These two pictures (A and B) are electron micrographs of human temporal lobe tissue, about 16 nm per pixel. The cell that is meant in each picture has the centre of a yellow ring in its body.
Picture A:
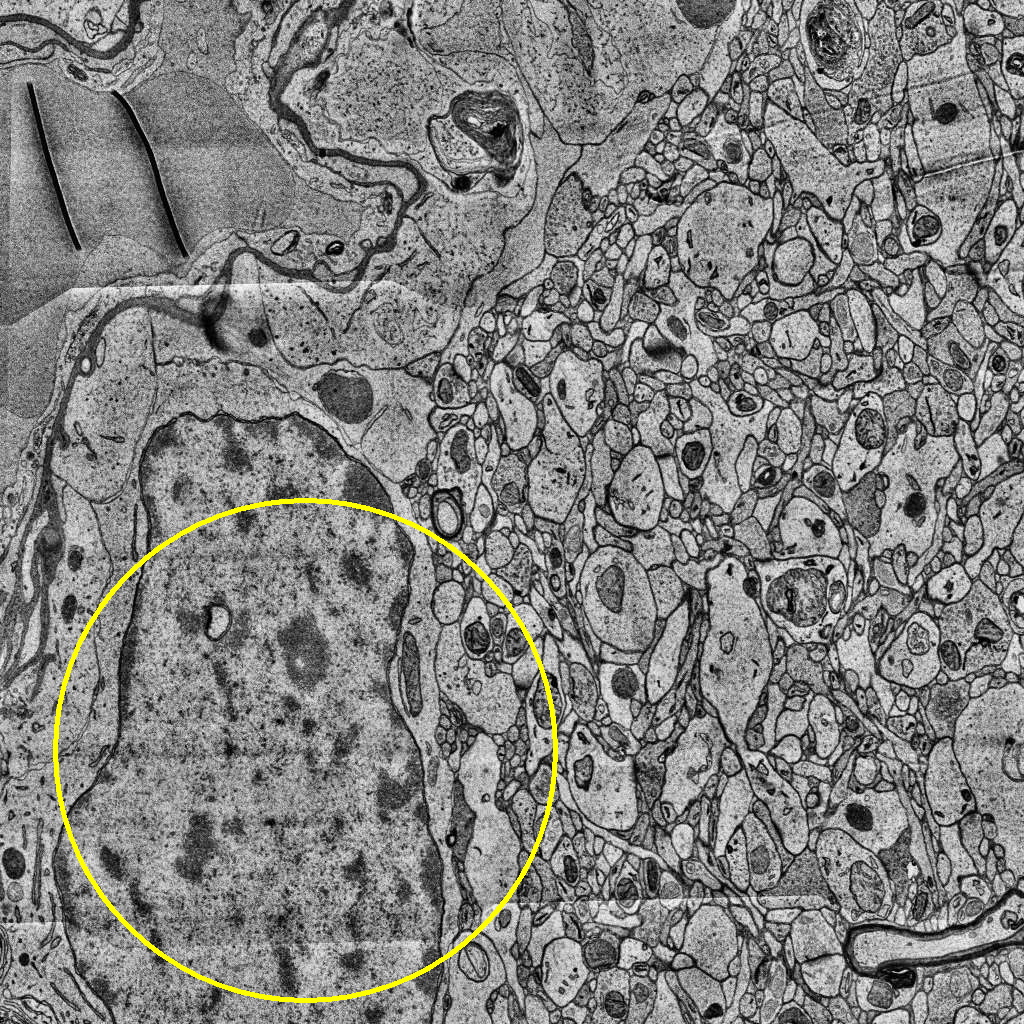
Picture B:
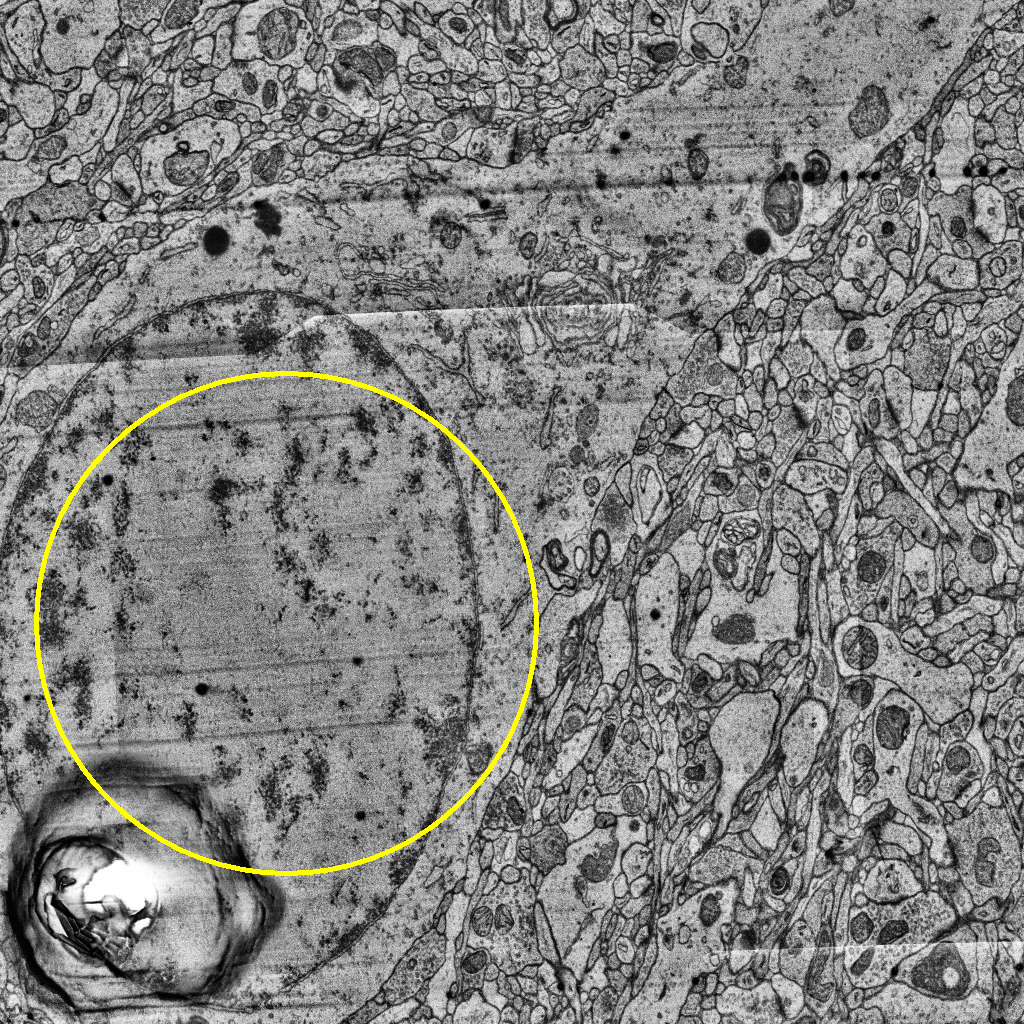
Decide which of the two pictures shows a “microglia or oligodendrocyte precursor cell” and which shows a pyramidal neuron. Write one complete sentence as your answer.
Picture A is of a “microglia or oligodendrocyte precursor cell”, and picture B is of a pyramidal neuron.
